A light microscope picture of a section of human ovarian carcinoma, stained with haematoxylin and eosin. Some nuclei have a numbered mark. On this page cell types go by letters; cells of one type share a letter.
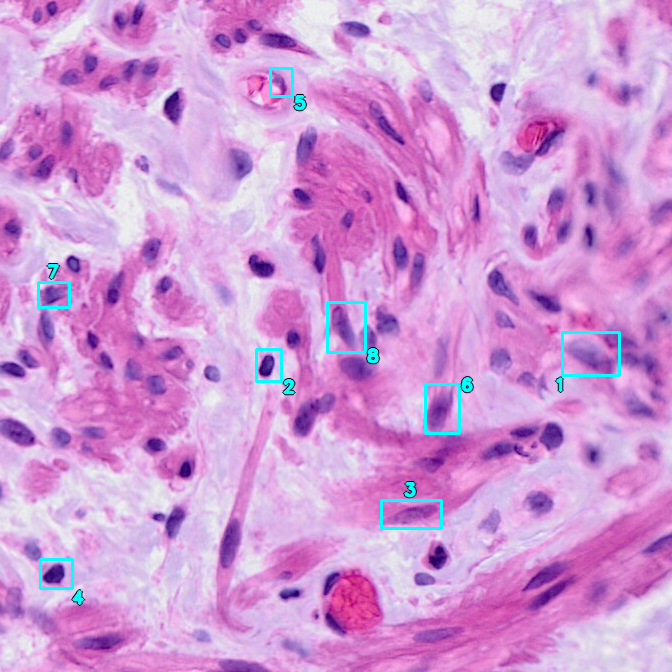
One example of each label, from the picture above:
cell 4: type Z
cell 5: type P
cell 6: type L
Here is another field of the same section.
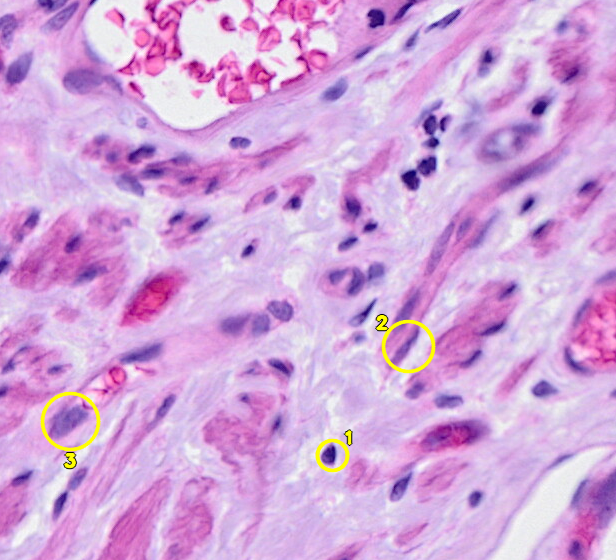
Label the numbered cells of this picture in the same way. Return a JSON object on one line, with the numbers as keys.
{"1": "type Z", "2": "type L", "3": "type P"}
